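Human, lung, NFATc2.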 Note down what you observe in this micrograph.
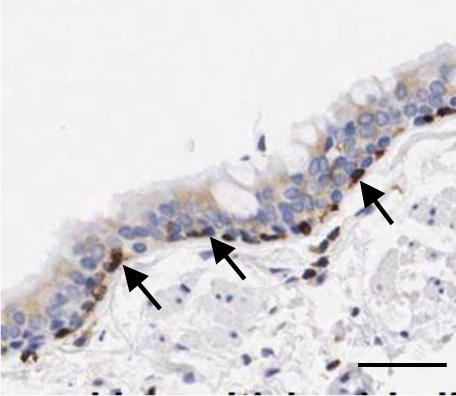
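This is a strip of normal bronchial epithelium lying on loose connective tissue. The lining is made of tall columnar cells with oval blue nuclei crowded in the lower and middle part and pale brownish cytoplasm towards the surface. Along the base, next to the connective tissue, sits a row of small, flattened cells whose nuclei are stained dark brown; these are the reserve cells. Below, the loose stroma is pale with scattered spindle-shaped nuclei.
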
